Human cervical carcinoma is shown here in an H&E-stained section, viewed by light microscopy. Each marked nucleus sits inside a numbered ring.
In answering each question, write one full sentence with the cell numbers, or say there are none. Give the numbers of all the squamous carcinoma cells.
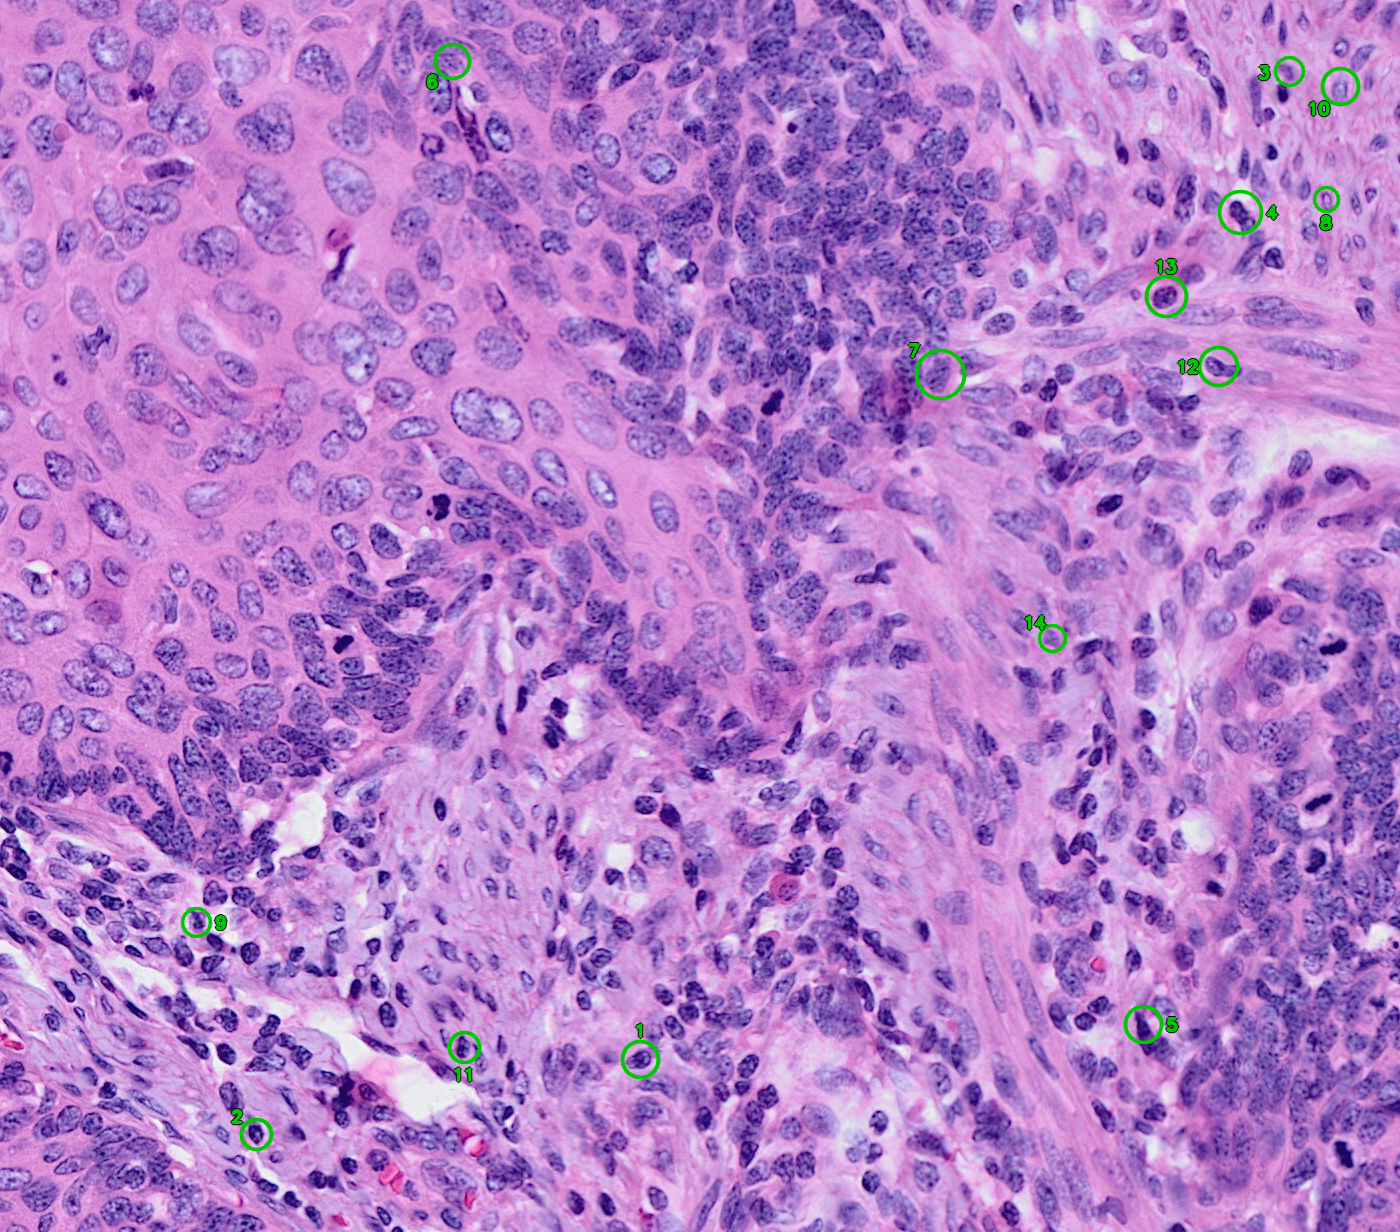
Cells numbered 6 and 7 belong to the group of squamous carcinoma cells.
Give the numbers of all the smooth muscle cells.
As for the cells numbered 3, 8, 10 and 14, they are smooth muscle cells.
